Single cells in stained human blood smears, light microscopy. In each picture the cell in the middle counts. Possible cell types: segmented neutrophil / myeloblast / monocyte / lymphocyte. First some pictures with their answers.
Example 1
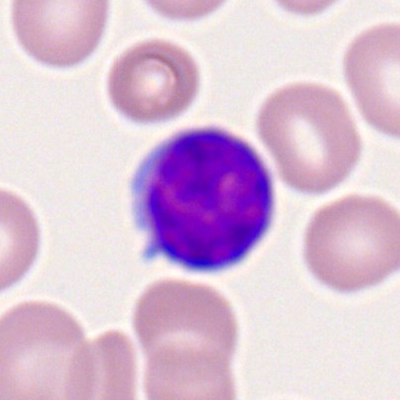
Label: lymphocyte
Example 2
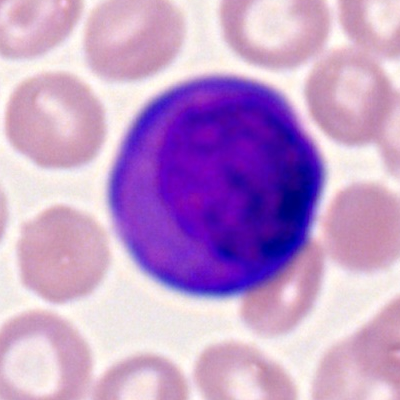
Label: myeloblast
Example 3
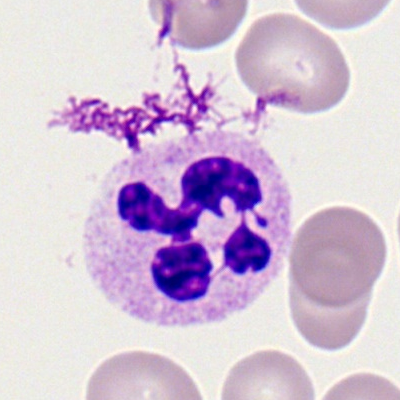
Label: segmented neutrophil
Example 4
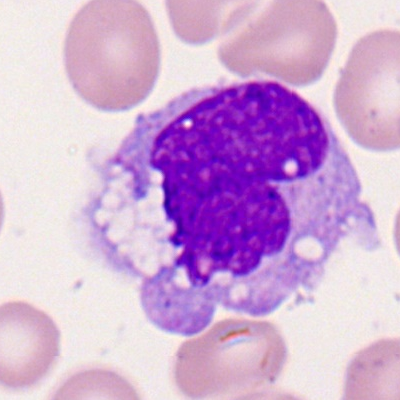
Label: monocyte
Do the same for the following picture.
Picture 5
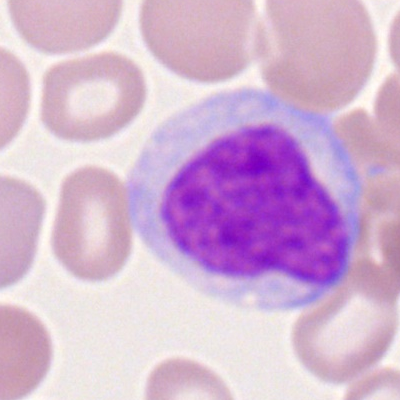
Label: monocyte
